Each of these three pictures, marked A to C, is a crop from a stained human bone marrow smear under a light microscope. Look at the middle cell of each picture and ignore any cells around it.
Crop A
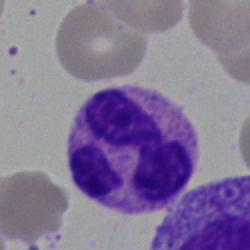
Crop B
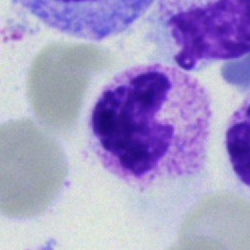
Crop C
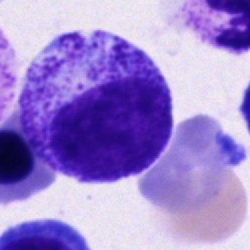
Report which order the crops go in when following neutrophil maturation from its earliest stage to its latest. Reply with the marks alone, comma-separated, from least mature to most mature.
C, B, A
